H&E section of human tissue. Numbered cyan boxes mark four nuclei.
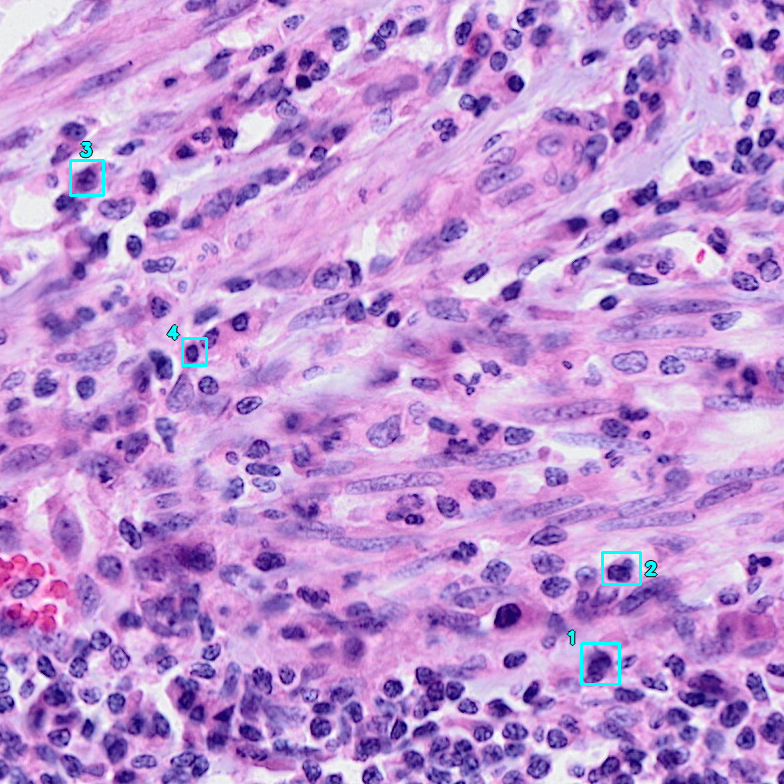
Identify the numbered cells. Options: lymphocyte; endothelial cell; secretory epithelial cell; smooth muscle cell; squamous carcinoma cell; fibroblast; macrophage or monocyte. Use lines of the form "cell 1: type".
cell 1: lymphocyte
cell 2: lymphocyte
cell 3: macrophage or monocyte
cell 4: lymphocyte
